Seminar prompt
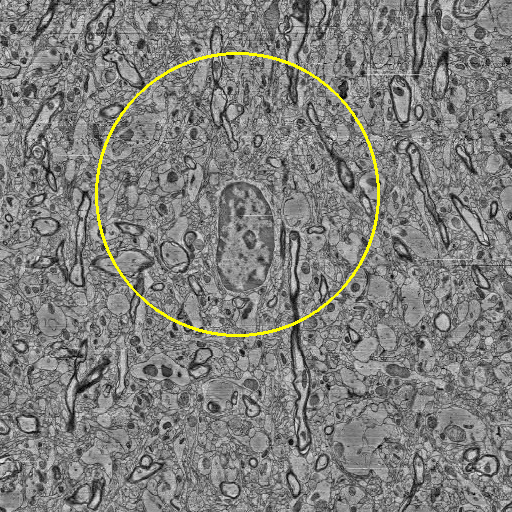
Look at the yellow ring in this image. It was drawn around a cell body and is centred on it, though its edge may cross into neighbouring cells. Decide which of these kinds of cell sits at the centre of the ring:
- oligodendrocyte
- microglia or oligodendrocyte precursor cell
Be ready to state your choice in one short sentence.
The kind of cell at the ring's centre is a microglial cell or oligodendrocyte precursor cell.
